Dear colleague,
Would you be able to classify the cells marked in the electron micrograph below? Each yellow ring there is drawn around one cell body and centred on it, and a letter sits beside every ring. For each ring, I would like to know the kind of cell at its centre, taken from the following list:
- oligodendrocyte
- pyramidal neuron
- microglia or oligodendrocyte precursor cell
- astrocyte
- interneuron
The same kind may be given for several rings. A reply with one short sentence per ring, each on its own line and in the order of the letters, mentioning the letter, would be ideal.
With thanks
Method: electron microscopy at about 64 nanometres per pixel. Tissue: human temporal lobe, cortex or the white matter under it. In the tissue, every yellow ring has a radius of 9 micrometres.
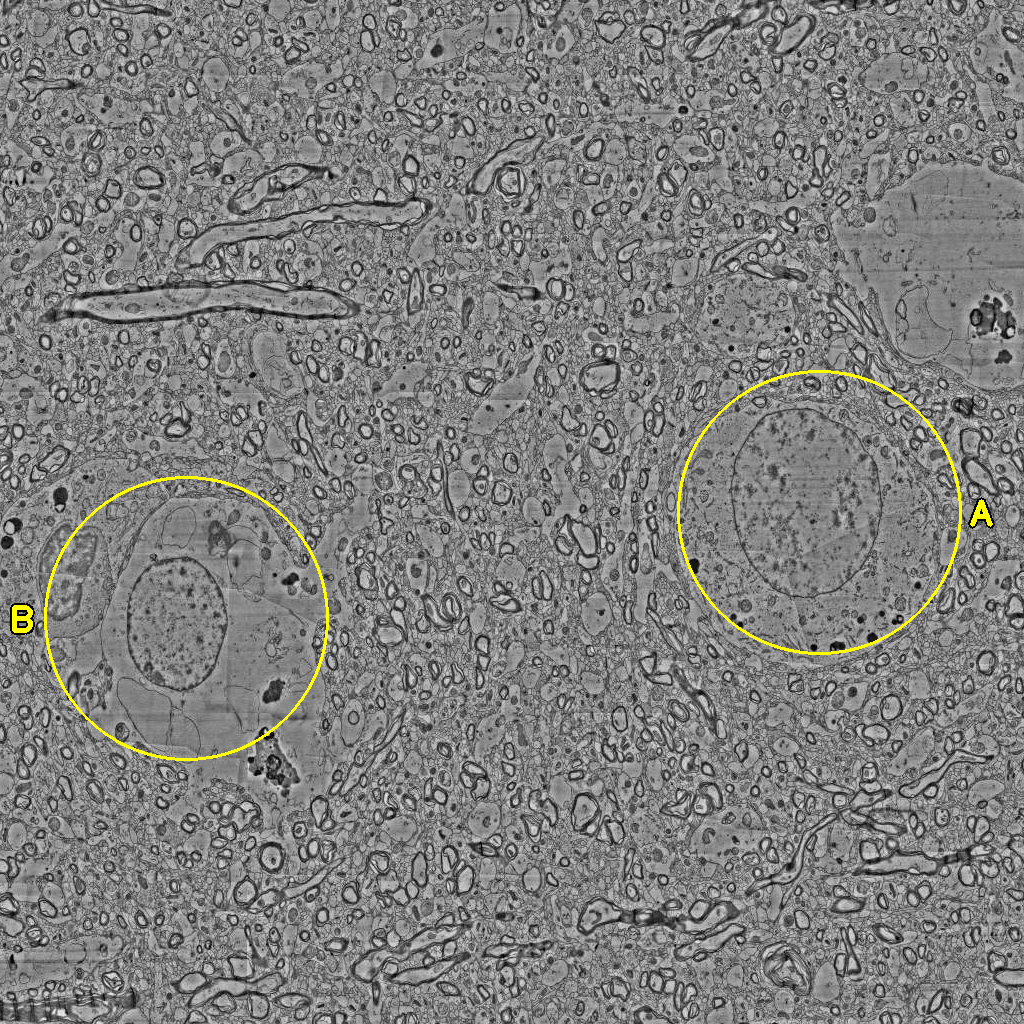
Ring A contains a pyramidal neuron at its centre.
Ring B contains an astrocyte at its centre.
